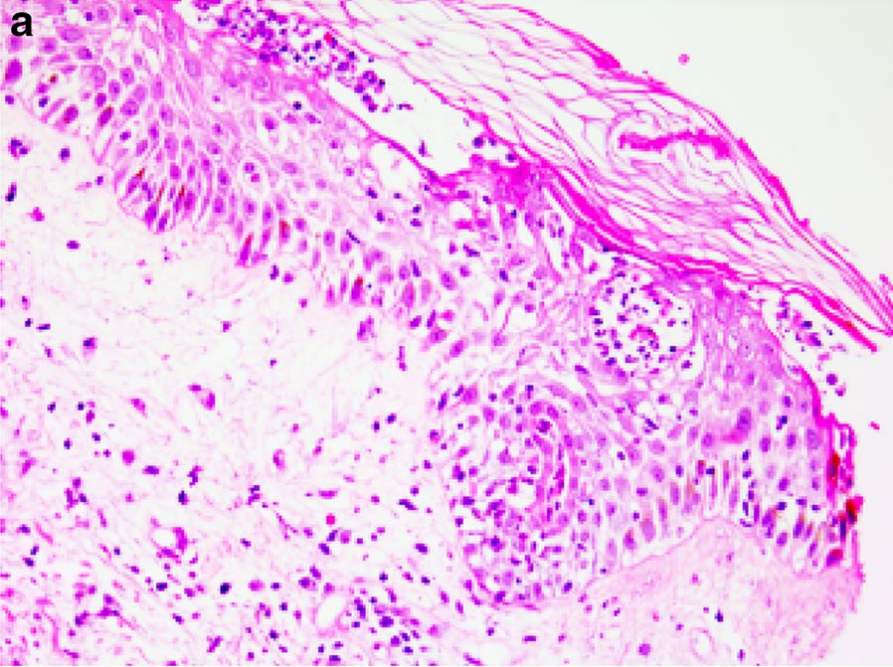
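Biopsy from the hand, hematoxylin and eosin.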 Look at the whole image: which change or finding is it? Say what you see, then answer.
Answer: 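The dermis at left is very pale and loose, with widely separated scattered cells. Few pink collagen fibres are seen in the superficial dermis beneath the epidermis. The answer: papillary derma edema.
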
